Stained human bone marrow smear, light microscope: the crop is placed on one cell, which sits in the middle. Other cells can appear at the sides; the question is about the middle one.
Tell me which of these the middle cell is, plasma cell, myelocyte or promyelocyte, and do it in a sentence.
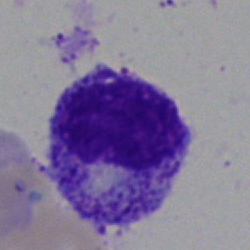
Regarding the central cell, it is a myelocyte.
